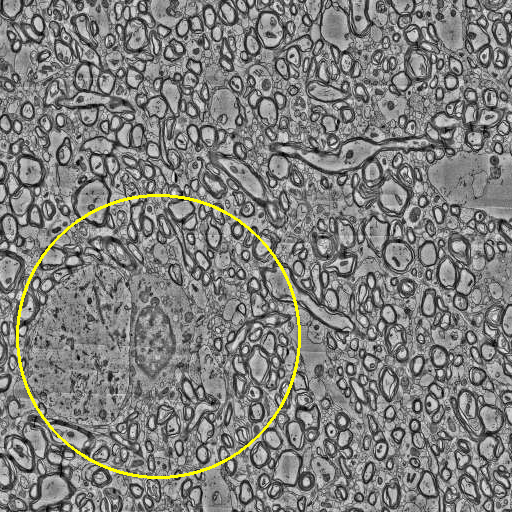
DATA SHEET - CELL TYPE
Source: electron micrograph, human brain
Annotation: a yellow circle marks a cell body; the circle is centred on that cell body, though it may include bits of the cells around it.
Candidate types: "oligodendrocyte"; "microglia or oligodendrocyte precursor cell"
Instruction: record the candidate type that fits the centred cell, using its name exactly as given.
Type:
oligodendrocyte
